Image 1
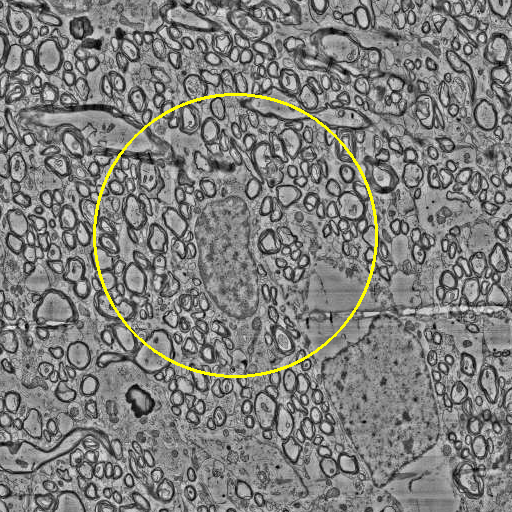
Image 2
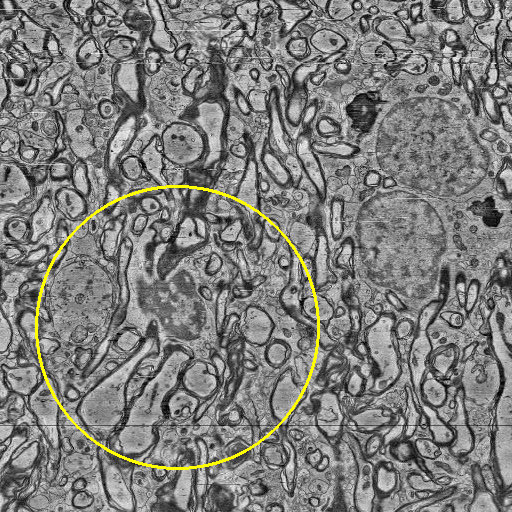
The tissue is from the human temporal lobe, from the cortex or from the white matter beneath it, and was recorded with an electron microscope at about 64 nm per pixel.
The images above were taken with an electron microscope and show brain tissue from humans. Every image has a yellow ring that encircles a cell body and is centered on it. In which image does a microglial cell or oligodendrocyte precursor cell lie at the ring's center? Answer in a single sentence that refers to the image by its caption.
In Image 2, the cell at the center of the yellow ring is the correct match.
